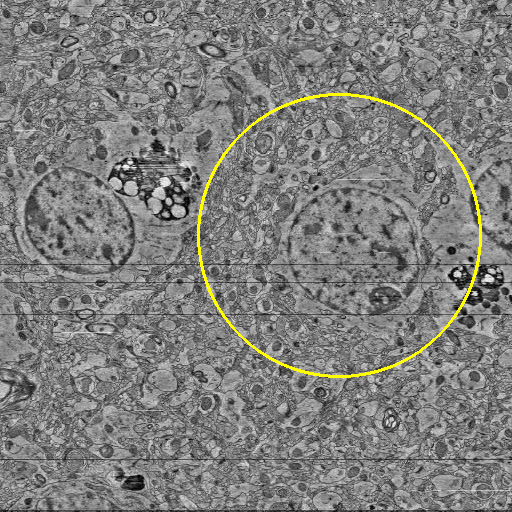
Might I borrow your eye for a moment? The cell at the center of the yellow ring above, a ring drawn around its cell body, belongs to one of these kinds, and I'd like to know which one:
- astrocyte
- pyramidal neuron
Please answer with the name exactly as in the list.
astrocyte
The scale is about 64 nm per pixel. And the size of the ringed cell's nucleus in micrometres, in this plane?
The nucleus is approximately 9 micrometers across in this plane.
